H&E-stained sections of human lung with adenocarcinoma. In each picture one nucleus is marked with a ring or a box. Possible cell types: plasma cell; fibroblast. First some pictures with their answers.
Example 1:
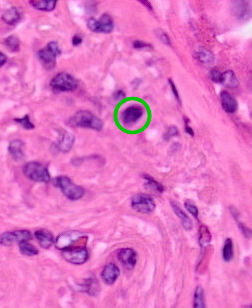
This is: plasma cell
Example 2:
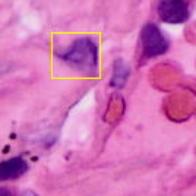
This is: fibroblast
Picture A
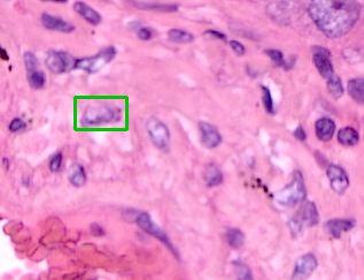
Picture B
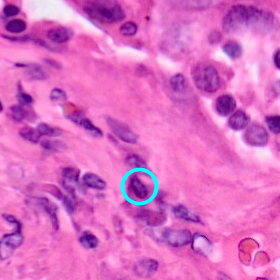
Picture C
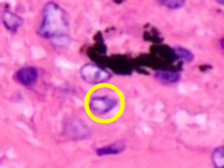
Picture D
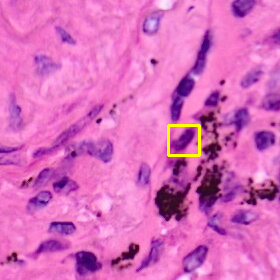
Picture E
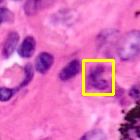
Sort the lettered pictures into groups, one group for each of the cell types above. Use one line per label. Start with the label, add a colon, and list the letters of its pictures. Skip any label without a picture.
plasma cell: B, D, E
fibroblast: A, C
